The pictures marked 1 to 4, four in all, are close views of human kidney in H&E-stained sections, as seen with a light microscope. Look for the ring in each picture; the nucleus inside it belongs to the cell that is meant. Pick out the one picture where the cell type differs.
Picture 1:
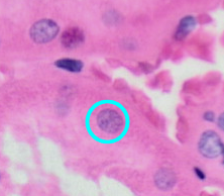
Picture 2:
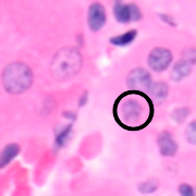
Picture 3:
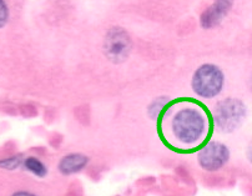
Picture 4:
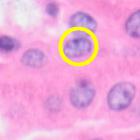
1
